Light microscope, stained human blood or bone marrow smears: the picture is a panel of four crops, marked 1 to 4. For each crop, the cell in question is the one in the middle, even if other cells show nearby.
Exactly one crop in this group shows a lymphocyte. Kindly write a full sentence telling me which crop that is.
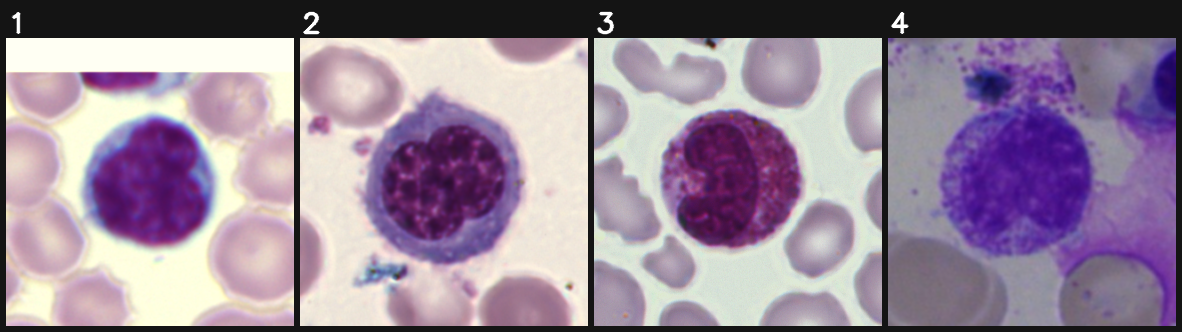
Crop 1 is where a lymphocyte is shown.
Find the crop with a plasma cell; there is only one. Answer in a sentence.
Of the labelled crops, the one that shows a plasma cell is crop 2.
